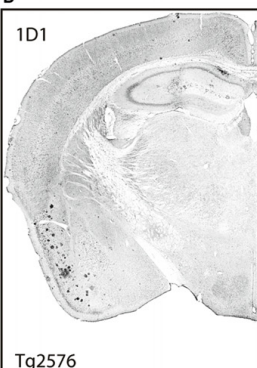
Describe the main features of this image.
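This coronal section of the mouse forebrain shows light labelling across the neocortex and hippocampus with scattered dark deposits. The hippocampal cell layers appear as faint grey bands. In the lower lateral cortex many dark, round, discrete spots of varying size stand out against the paler tissue. The deep structures of the forebrain are pale.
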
